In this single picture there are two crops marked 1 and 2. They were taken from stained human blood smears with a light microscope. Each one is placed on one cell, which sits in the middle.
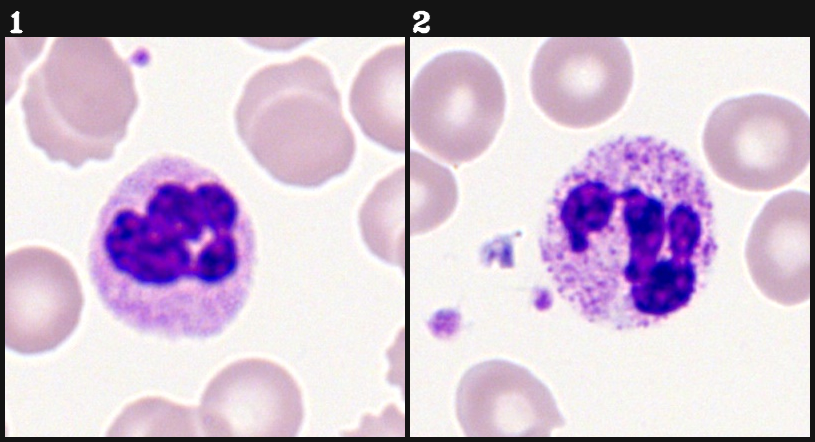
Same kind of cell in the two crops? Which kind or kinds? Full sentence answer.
Yes, both crops show a cell each, and these are neutrophils.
